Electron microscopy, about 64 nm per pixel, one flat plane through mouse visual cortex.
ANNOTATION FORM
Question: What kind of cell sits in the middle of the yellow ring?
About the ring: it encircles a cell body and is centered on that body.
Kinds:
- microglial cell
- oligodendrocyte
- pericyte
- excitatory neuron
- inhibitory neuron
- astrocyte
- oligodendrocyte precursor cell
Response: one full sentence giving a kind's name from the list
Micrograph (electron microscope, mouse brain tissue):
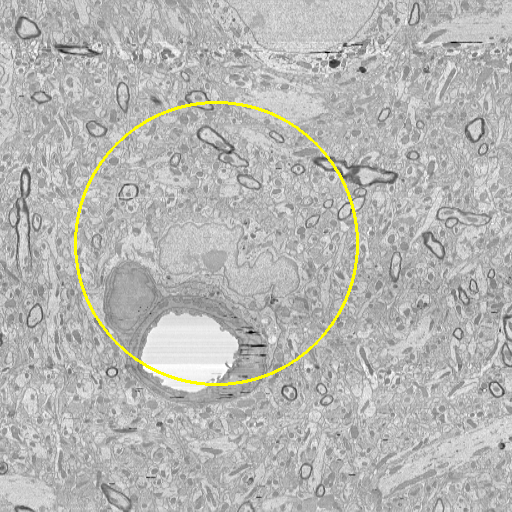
The kind of cell found at the center of the yellow ring in the micrograph is an oligodendrocyte precursor cell.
